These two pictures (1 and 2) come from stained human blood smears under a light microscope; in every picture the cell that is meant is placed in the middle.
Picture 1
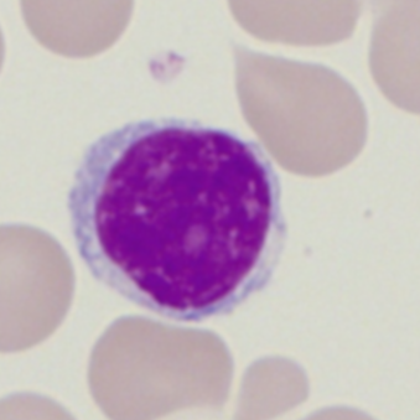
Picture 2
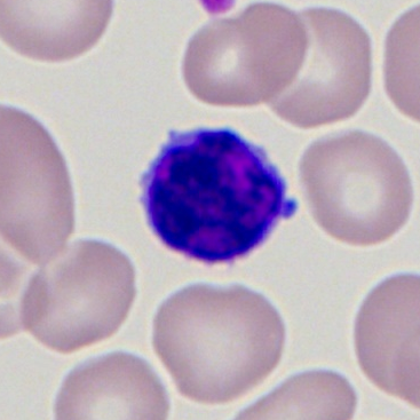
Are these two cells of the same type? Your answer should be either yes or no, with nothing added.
yes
